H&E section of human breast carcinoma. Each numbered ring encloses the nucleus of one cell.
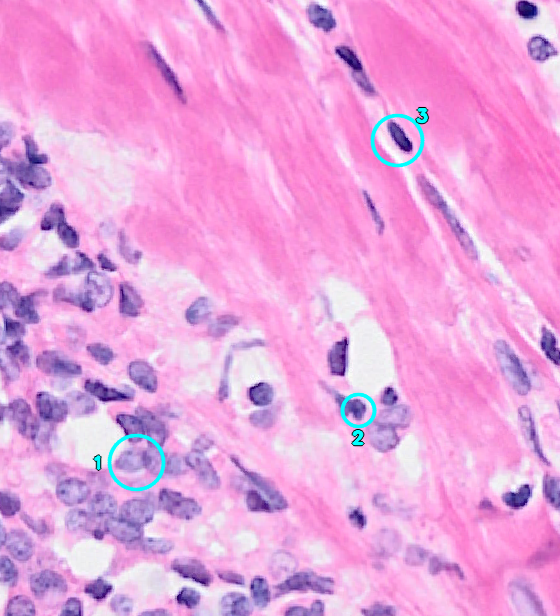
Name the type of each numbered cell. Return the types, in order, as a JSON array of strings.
["carcinoma cell", "lymphocyte", "lymphocyte"]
